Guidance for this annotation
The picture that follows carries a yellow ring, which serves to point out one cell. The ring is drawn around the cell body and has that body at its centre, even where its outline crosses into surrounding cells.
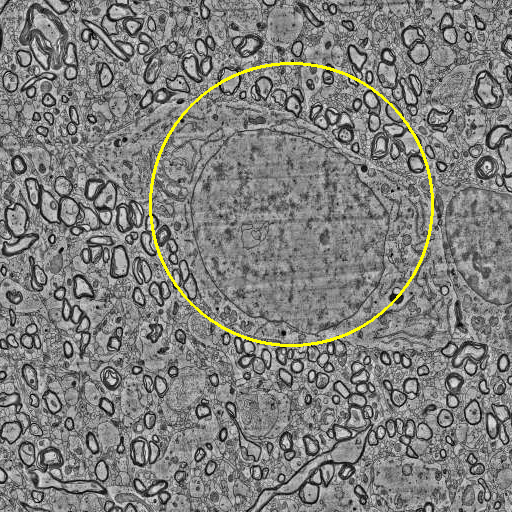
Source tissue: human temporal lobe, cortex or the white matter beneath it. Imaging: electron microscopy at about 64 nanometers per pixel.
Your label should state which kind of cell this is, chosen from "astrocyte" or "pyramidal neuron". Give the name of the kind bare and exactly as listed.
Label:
pyramidal neuron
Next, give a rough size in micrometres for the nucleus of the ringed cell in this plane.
Roughly 14 micrometres by 12 micrometres, in this plane.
